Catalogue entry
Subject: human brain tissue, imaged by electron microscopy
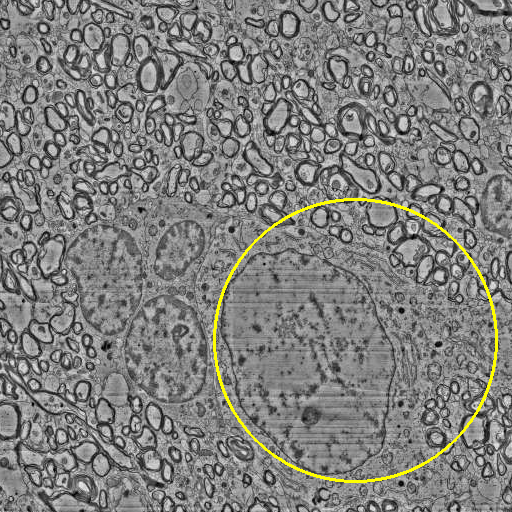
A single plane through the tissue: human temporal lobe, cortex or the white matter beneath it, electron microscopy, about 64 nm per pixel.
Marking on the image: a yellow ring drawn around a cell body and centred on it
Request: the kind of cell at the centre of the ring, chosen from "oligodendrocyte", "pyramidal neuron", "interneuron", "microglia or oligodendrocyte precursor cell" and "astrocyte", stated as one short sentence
The ring has a pyramidal neuron at its centre.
